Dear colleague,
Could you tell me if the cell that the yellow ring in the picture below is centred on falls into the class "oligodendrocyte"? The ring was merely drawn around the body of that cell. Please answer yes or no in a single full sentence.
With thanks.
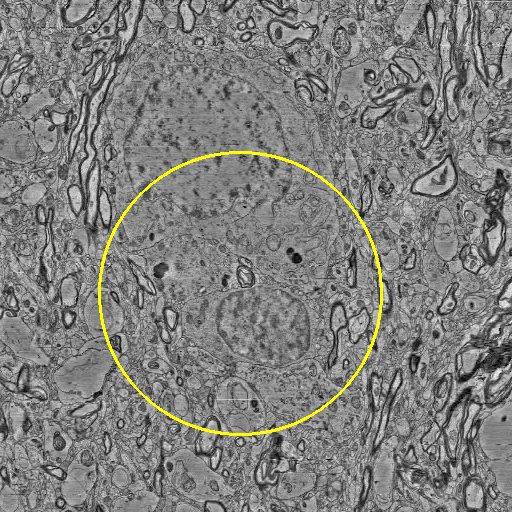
Yes, the cell on which the ring in your picture is centred falls into that class.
